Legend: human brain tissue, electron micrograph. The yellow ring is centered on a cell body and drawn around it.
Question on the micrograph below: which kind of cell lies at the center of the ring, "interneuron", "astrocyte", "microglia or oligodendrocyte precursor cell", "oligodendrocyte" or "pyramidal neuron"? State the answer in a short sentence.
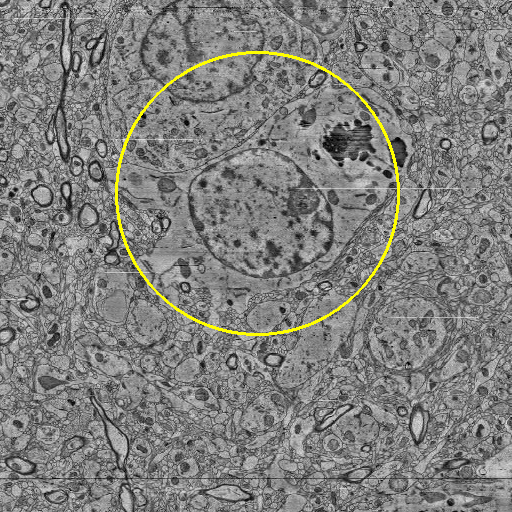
At the center of the ring lies an astrocyte.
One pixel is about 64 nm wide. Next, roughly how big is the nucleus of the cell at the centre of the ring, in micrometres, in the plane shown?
In this plane the nucleus is about 10 micrometres by 9.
